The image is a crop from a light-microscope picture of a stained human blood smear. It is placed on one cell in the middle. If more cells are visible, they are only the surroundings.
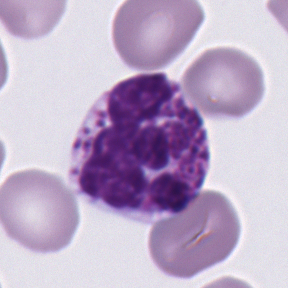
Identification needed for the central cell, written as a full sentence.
The cell at the middle of the frame should be recorded as a basophil.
